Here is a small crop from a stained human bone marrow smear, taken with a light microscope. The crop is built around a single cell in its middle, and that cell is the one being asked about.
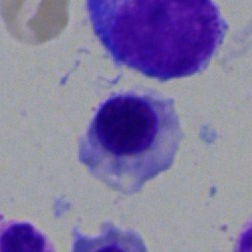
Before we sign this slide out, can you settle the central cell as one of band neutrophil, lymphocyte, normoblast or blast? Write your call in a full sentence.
The crop shows a normoblast in its centre.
